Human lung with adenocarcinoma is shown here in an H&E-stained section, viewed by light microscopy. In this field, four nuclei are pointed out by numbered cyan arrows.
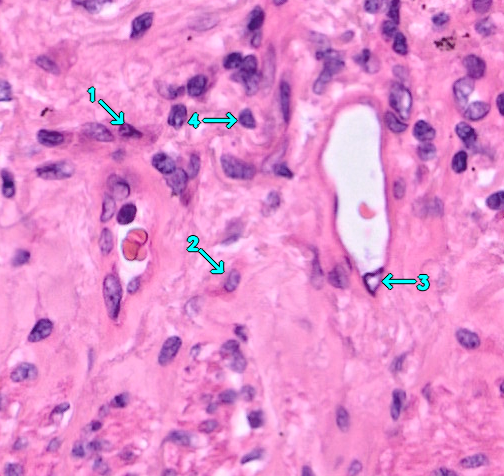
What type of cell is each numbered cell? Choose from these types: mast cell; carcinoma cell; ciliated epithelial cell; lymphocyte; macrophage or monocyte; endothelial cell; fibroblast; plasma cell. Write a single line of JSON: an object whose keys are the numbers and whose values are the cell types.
{"1": "plasma cell", "2": "mast cell", "3": "endothelial cell", "4": "lymphocyte"}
